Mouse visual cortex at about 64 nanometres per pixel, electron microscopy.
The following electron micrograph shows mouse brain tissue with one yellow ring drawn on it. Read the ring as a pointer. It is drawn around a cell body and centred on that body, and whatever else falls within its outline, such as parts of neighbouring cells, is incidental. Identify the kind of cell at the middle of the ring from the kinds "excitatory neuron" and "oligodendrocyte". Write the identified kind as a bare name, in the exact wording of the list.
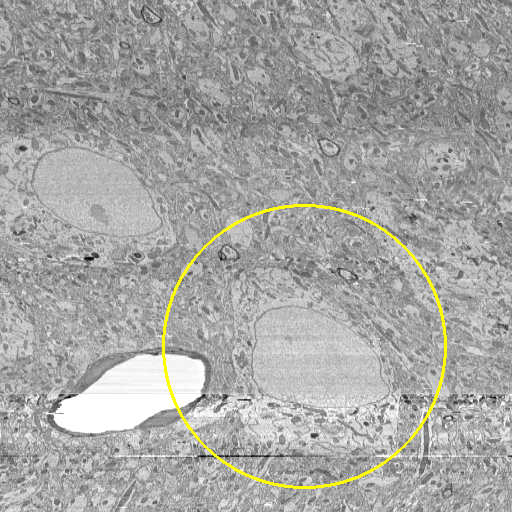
excitatory neuron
